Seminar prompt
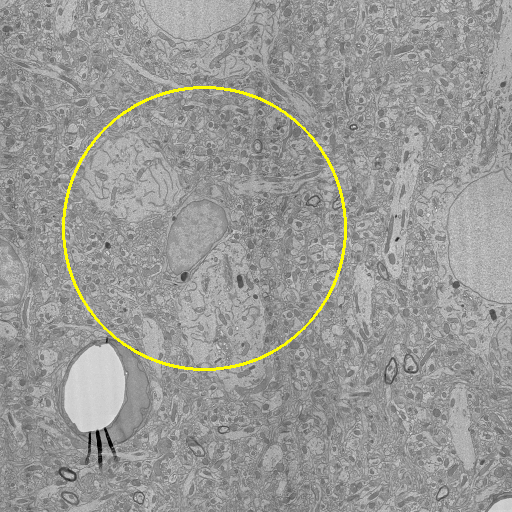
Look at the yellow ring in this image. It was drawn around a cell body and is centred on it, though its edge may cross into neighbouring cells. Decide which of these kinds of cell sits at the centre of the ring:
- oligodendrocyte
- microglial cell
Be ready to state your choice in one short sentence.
The kind of cell at the ring's centre is a microglial cell.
